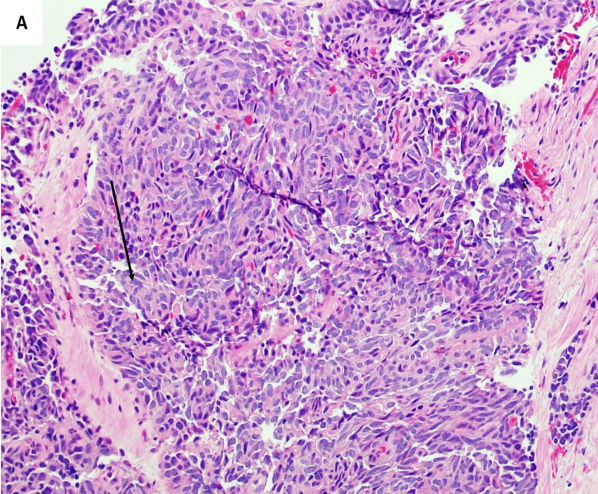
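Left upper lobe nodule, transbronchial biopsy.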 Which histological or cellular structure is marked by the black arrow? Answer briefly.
Large nests of uniform tumor cells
